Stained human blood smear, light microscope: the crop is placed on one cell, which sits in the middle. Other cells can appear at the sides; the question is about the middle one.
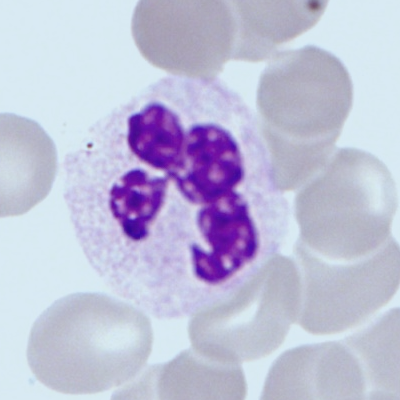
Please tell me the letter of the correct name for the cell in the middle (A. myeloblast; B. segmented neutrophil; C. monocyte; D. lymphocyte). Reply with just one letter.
B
